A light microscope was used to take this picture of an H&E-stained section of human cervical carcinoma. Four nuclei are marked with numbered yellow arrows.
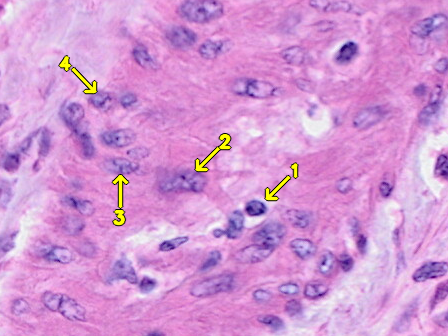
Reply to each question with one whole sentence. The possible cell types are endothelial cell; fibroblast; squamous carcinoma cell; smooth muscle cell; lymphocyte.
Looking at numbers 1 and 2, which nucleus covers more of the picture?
Of the two, number 2 is bigger and takes up about 2 times the area of number 1.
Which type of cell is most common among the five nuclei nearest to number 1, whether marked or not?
Smooth muscle cells make up most of the five nuclei closest to number 1.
